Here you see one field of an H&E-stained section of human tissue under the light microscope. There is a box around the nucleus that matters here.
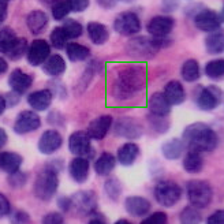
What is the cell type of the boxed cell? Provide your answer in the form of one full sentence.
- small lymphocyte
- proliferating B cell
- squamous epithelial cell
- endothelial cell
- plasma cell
Microscopically, the boxed cell is categorized as an endothelial cell.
